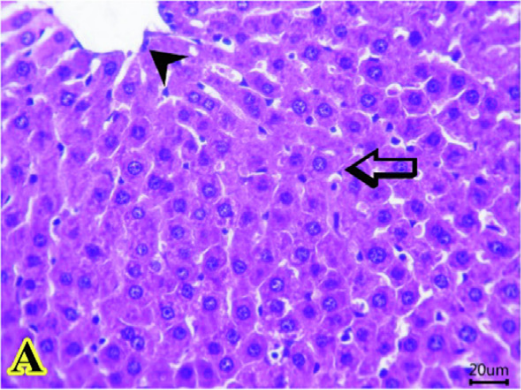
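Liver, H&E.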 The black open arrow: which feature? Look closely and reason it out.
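Hepatic cords. Polygonal pink cells with round central nuclei lie in rows. The rows are separated by narrow clear spaces.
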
